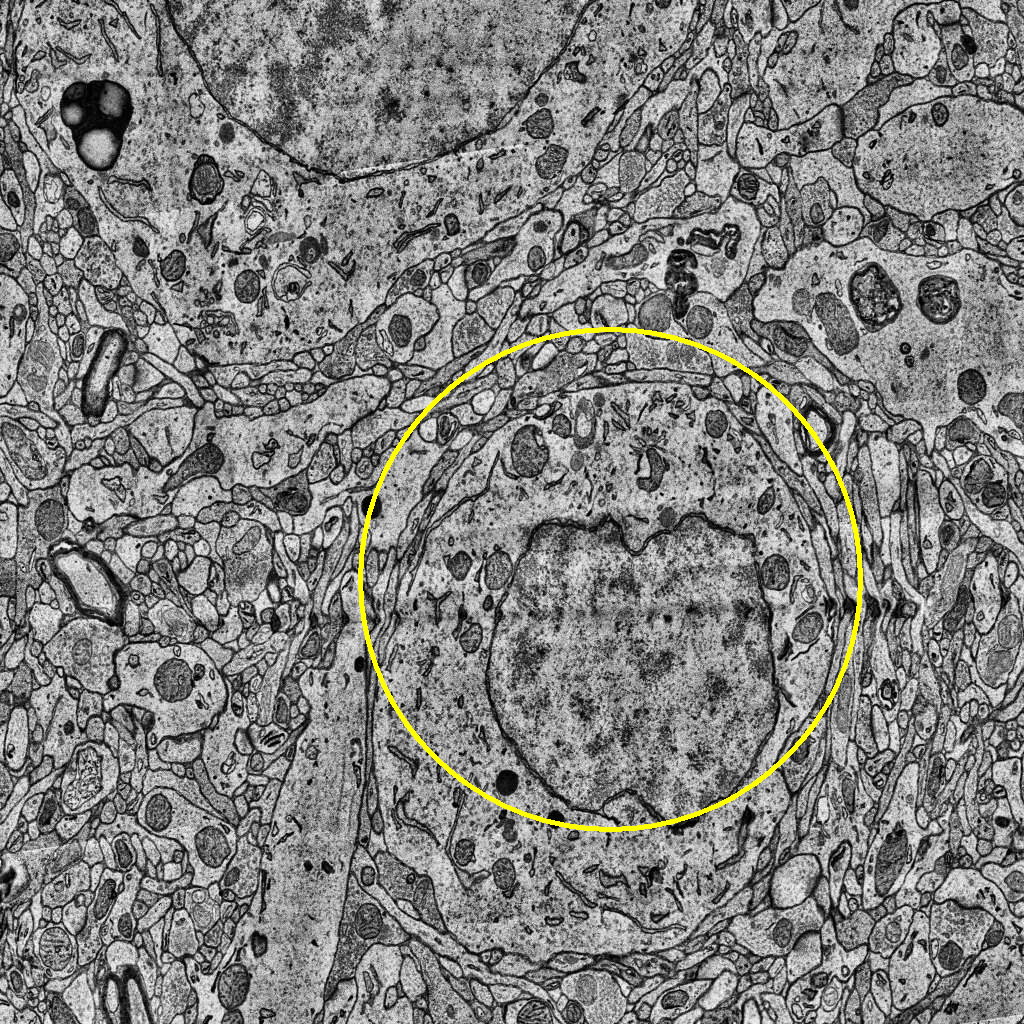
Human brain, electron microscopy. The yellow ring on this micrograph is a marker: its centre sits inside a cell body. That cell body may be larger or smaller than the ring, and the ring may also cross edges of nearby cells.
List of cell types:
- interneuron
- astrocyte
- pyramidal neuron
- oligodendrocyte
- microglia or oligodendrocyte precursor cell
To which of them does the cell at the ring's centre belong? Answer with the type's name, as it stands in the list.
pyramidal neuron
